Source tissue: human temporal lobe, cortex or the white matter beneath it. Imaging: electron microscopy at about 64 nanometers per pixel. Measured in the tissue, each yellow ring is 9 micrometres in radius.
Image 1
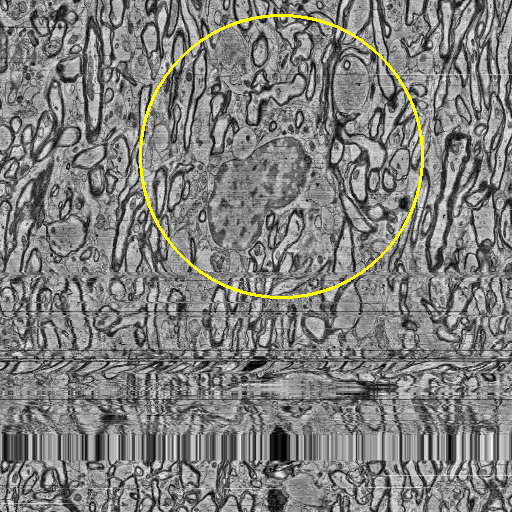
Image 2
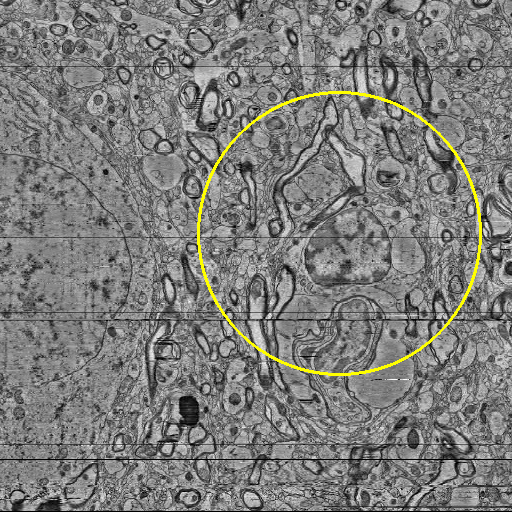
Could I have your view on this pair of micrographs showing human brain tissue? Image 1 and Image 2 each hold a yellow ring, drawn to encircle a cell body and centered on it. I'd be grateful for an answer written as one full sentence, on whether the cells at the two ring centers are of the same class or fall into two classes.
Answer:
The cells at the centers of the two rings are of the same class.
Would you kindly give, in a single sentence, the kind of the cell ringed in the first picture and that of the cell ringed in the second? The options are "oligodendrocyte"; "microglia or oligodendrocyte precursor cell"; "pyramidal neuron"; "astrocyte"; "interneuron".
Each cell at the centre of a ring is a microglial cell or oligodendrocyte precursor cell.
